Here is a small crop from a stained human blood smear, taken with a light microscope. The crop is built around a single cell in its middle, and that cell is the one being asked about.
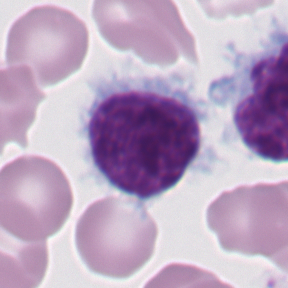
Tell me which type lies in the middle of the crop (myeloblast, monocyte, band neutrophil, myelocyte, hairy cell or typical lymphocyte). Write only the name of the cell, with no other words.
hairy cell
